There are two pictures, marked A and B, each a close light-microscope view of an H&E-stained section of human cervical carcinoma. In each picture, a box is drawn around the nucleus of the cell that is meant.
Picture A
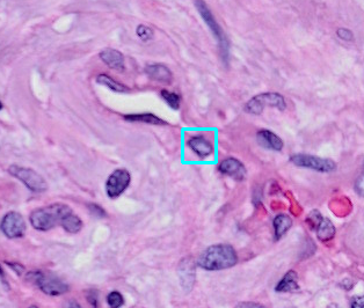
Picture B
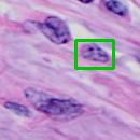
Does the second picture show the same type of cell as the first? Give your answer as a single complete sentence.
No, the types are not the same, since picture A shows an endothelial cell and picture B a “macrophage or monocyte”.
